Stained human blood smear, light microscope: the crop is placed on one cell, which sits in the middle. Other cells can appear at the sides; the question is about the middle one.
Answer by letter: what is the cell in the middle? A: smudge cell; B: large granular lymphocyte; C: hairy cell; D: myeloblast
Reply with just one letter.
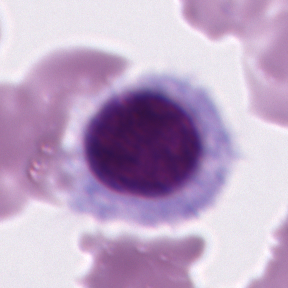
C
